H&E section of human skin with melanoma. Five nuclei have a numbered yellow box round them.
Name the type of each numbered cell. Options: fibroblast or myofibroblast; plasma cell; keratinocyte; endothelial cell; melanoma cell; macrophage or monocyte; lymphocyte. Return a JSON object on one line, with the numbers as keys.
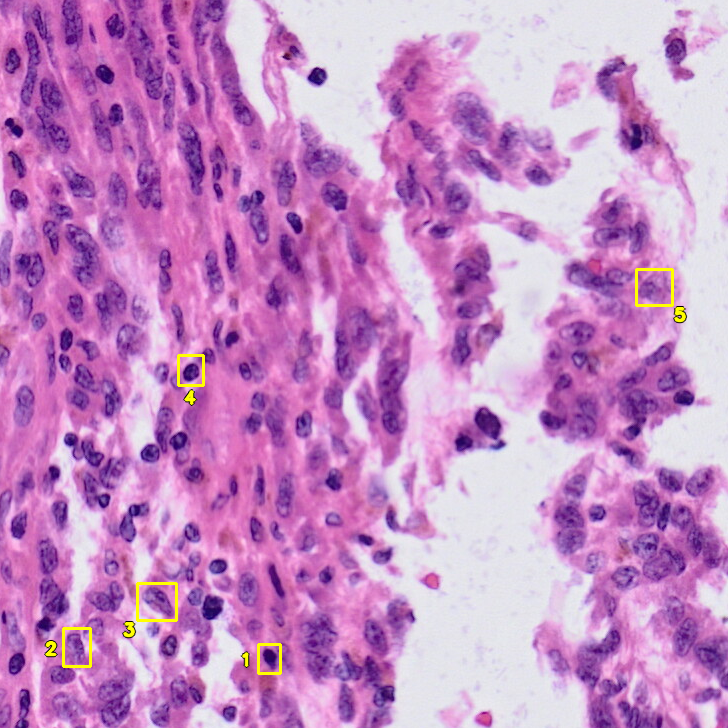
{"1": "lymphocyte", "2": "melanoma cell", "3": "macrophage or monocyte", "4": "lymphocyte", "5": "melanoma cell"}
